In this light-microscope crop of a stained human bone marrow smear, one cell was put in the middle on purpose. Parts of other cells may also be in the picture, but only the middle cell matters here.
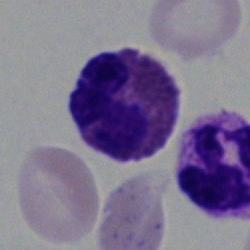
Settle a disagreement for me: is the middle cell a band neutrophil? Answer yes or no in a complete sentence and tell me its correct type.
No, this one is an eosinophil; it is not a band neutrophil.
